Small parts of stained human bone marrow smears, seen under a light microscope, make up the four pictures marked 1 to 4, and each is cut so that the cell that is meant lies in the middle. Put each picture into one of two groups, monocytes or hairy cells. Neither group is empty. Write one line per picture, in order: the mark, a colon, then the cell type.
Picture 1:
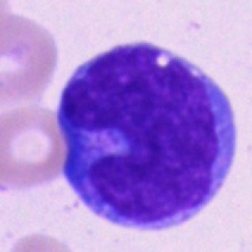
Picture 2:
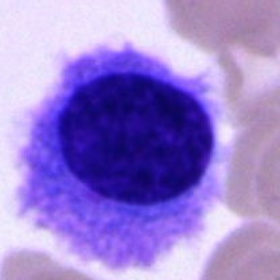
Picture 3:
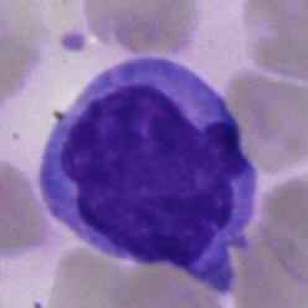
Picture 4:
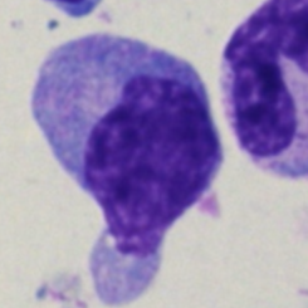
1: monocyte
2: hairy cell
3: monocyte
4: monocyte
